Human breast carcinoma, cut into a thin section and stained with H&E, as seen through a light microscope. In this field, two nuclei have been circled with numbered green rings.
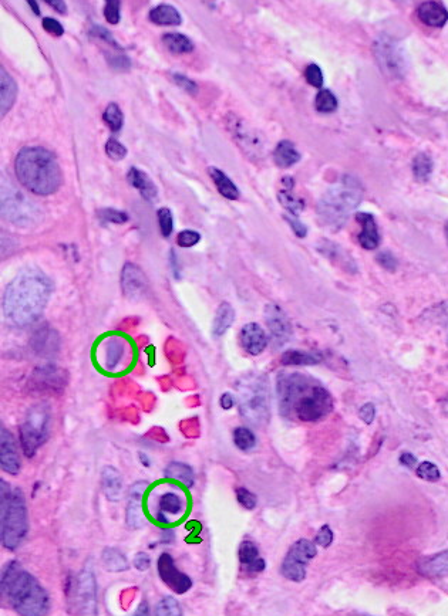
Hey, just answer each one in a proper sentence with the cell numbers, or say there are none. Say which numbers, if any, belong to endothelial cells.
Cell 1 is an endothelial cell, whereas each of the other numbered cells is not.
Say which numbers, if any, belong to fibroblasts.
It is not the case that any of the numbered cells are fibroblasts.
